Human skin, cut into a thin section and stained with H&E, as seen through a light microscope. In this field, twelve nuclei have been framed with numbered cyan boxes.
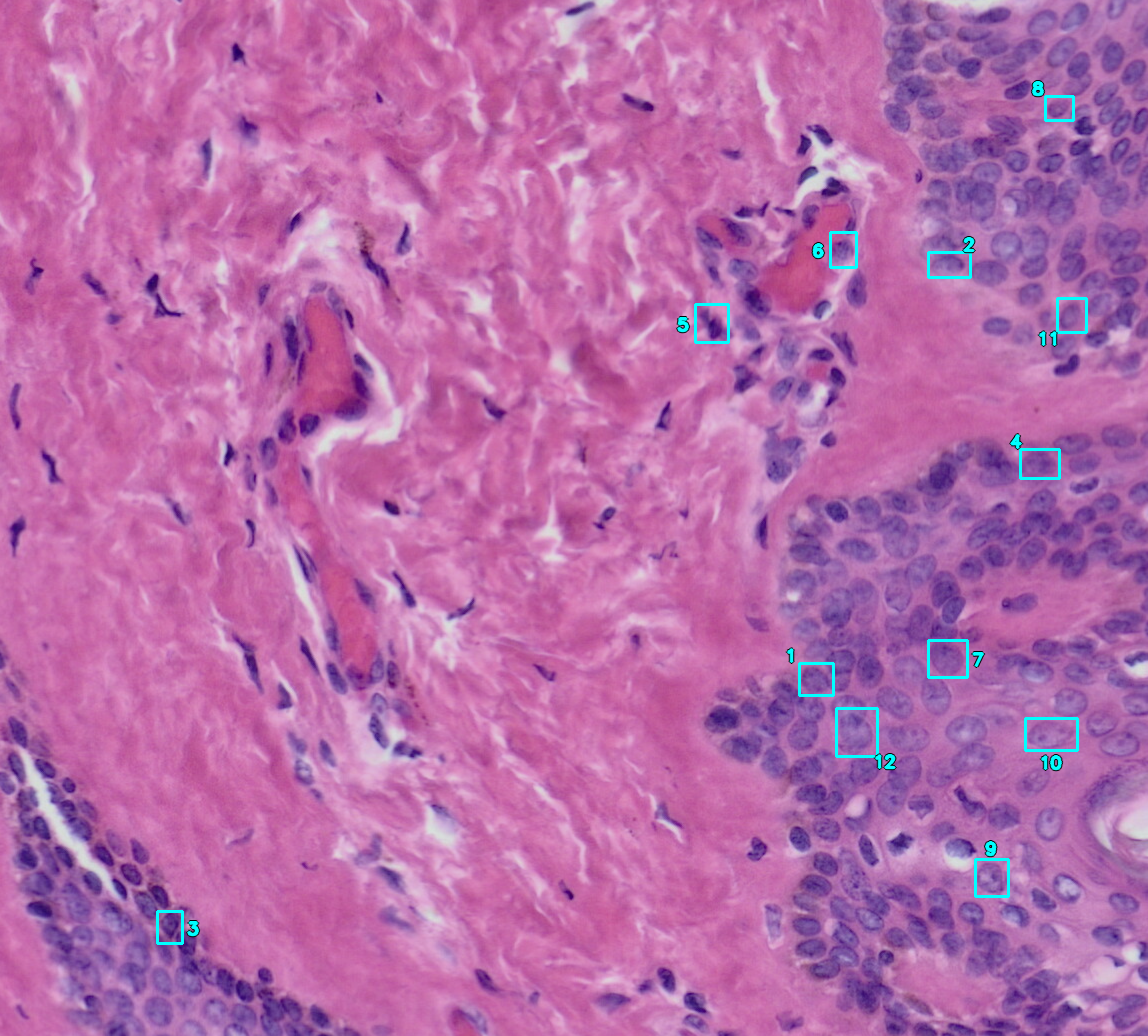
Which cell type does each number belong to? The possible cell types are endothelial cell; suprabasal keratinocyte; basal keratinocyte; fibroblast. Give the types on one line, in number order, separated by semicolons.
basal keratinocyte; basal keratinocyte; basal keratinocyte; basal keratinocyte; fibroblast; endothelial cell; basal keratinocyte; basal keratinocyte; suprabasal keratinocyte; suprabasal keratinocyte; basal keratinocyte; suprabasal keratinocyte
